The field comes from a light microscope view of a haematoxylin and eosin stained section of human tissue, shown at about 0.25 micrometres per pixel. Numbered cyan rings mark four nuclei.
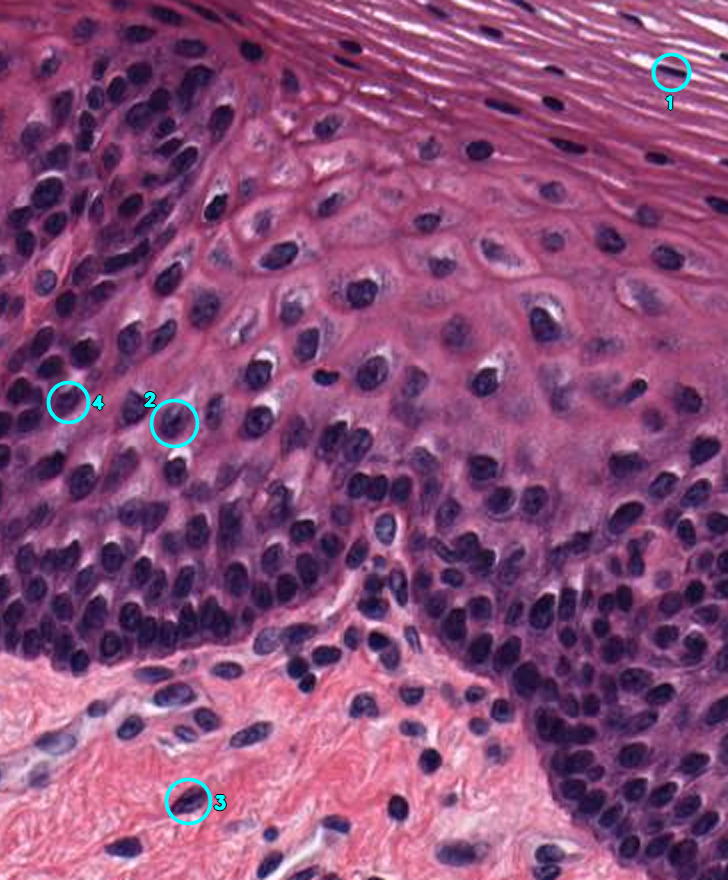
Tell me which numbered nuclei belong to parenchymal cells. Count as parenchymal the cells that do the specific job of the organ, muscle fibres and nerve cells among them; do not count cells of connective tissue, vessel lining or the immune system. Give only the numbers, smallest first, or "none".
1, 2, 4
